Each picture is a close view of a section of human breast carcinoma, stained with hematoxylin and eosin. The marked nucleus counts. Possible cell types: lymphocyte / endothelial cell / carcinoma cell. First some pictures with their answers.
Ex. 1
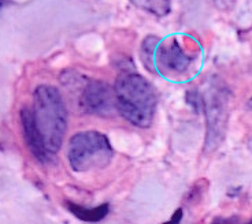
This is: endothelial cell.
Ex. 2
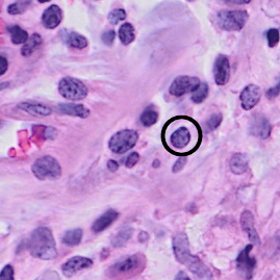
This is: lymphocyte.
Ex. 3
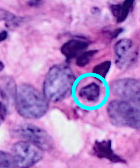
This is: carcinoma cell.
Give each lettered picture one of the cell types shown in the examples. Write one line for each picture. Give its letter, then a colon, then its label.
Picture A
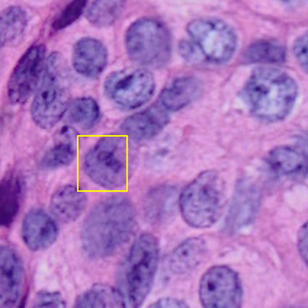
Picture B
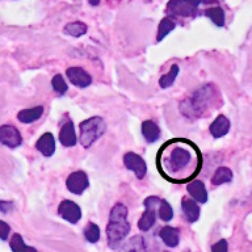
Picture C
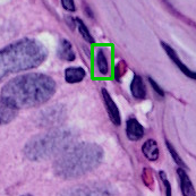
A: carcinoma cell.
B: lymphocyte.
C: endothelial cell.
